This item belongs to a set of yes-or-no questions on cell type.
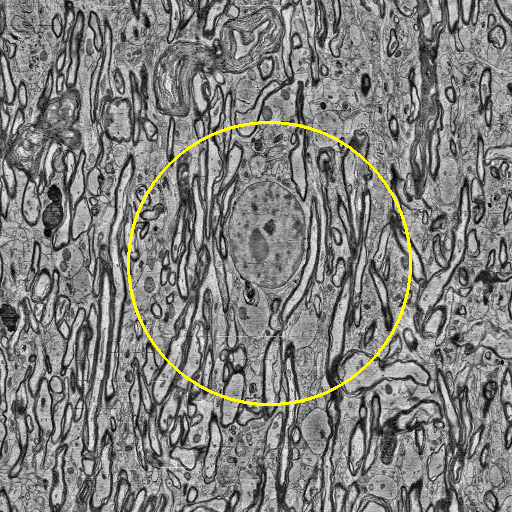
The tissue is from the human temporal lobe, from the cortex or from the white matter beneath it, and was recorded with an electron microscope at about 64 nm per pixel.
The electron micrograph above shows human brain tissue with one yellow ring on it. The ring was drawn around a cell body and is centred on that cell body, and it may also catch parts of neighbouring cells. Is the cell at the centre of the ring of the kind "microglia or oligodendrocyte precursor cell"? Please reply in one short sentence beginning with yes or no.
Yes, that cell is of the named kind.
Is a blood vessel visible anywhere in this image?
No, no vessel appears in the picture.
